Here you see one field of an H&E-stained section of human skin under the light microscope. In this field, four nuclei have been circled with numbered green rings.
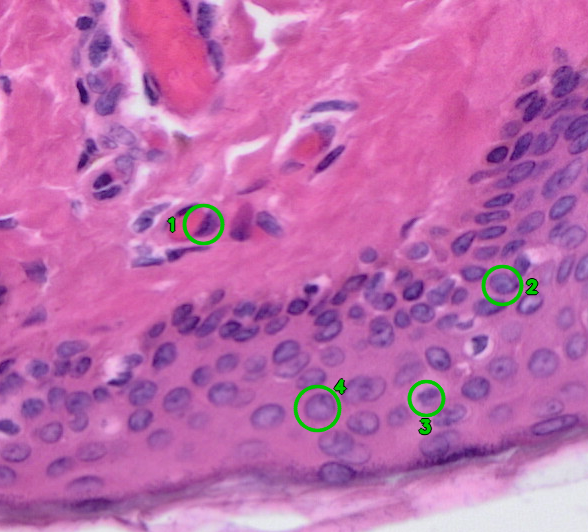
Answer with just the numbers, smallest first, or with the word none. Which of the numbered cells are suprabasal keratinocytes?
2, 3, 4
